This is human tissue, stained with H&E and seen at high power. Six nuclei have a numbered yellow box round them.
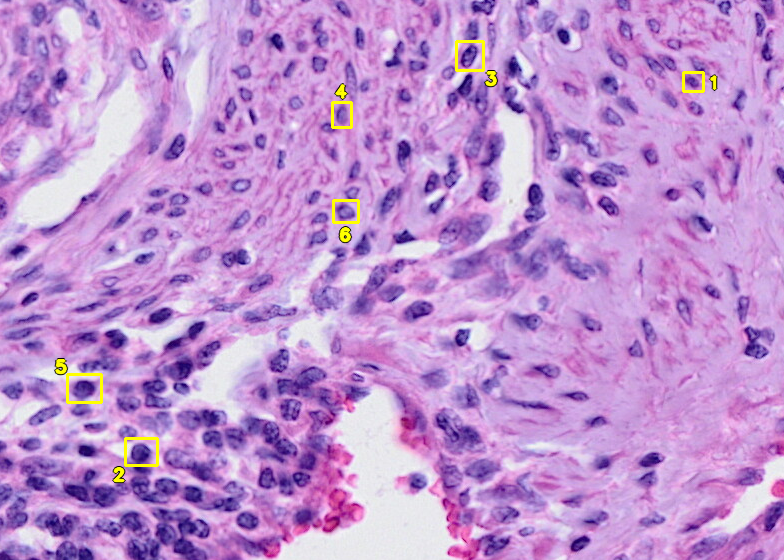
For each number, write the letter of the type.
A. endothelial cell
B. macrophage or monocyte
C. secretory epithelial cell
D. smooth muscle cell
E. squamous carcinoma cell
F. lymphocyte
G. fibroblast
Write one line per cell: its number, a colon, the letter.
1: D
2: F
3: F
4: D
5: F
6: D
